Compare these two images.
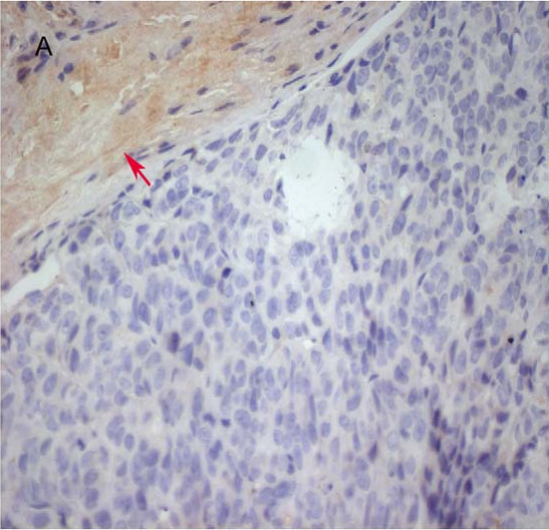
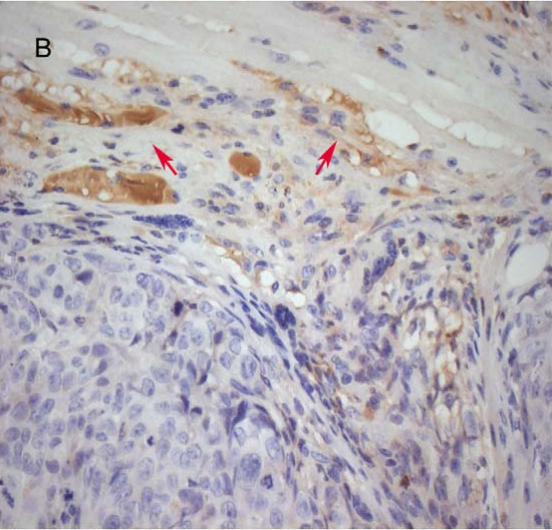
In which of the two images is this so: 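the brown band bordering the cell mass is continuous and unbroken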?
The first image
